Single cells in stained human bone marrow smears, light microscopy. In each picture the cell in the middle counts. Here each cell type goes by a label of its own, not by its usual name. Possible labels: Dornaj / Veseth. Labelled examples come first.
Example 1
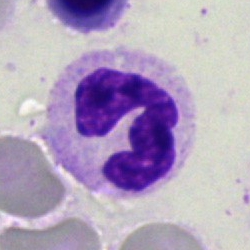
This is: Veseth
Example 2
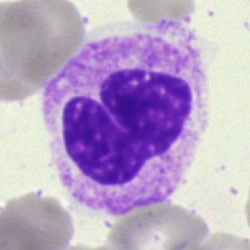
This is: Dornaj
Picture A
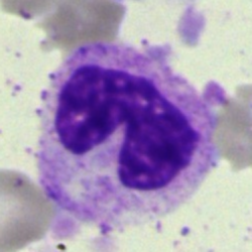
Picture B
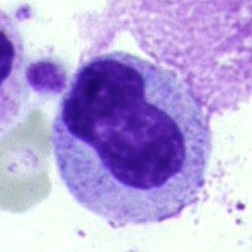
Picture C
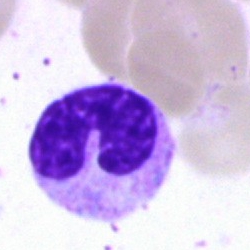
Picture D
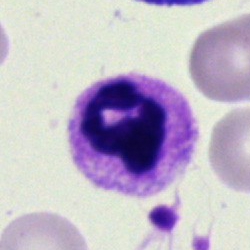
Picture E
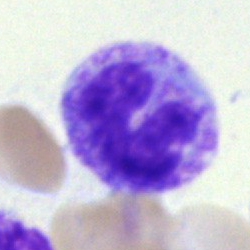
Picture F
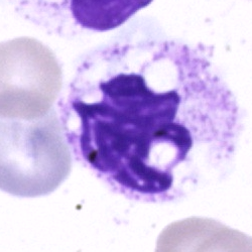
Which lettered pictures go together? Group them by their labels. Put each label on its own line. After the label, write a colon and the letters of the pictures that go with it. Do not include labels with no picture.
Dornaj: A, B, C, E
Veseth: D, F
